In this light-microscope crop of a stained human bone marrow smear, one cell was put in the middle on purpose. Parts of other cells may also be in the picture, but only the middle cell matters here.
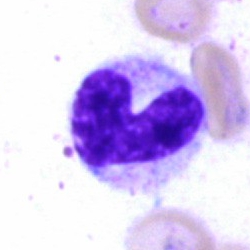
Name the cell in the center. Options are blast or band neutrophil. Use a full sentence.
The cell sitting right in the middle is a band neutrophil.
